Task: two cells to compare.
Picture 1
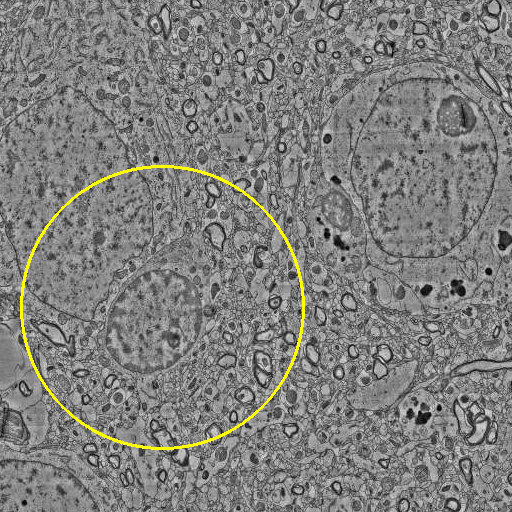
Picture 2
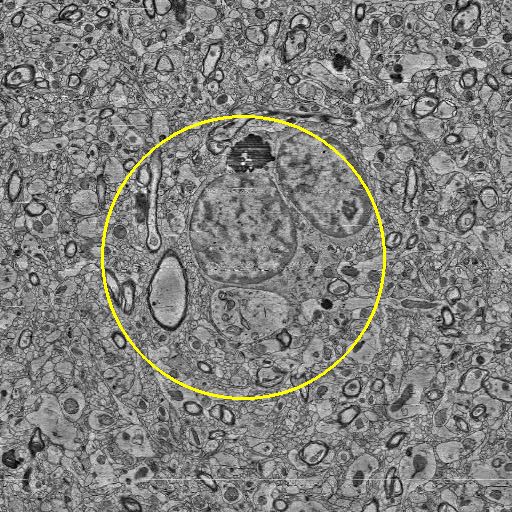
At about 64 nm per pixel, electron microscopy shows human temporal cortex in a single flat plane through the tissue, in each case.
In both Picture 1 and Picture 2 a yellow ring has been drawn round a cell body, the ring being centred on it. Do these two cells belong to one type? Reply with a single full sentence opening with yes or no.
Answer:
Yes, the two cells at the ring centres in Picture 1 and Picture 2 share one type.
